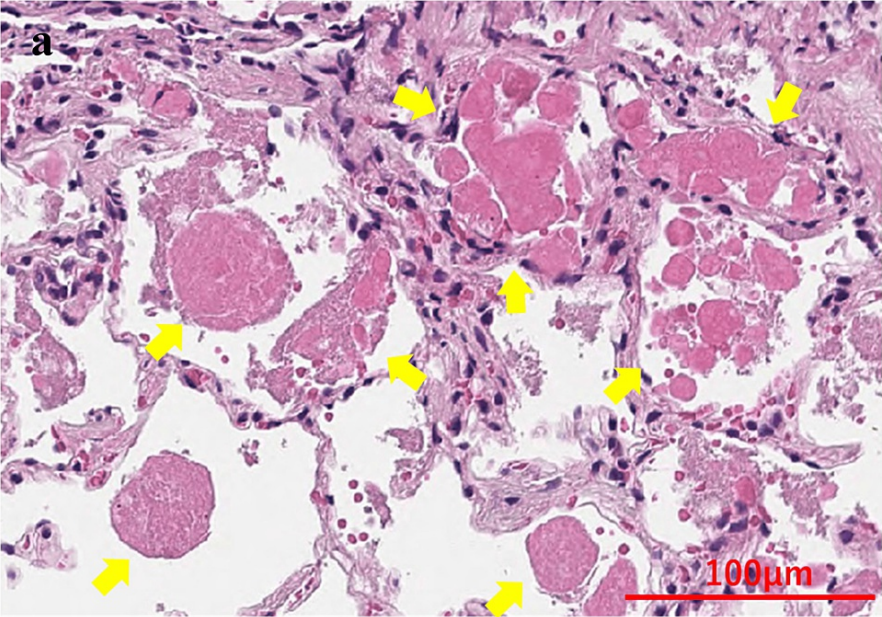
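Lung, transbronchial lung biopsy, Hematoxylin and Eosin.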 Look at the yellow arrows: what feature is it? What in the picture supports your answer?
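The arrows point to rounded, pink, finely granular masses lying in air spaces. The masses contain no nuclei. Thin septa with dark nuclei surround the spaces holding the masses. So: eosinophilic bodies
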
